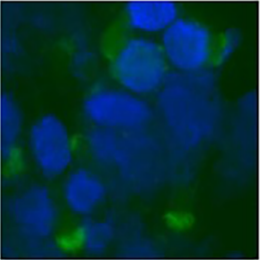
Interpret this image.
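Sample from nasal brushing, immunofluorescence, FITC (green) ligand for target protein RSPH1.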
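Numerous round to oval nuclei stain blue and lie packed closely together, some overlapping, so that cell borders are hard to make out. The nuclei are of fairly even size with smooth outlines. Between and around them lies a diffuse, faint green-grey haze. Small, brighter green patches appear at a few places, mainly near the lower edge of the cluster, where green material lies at the margin of cells. The green signal is weak compared with the blue nuclei, and no slender cell processes stand out clearly in this field.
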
